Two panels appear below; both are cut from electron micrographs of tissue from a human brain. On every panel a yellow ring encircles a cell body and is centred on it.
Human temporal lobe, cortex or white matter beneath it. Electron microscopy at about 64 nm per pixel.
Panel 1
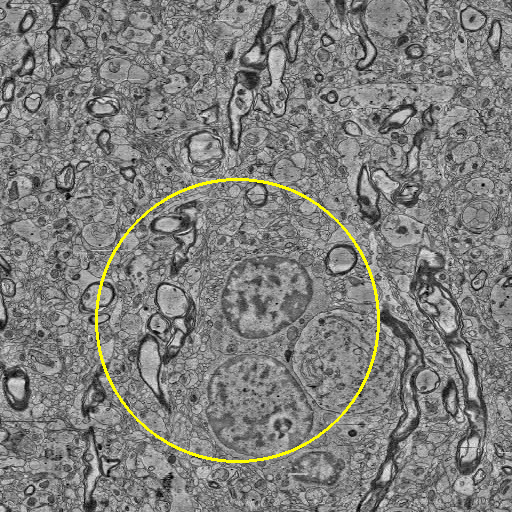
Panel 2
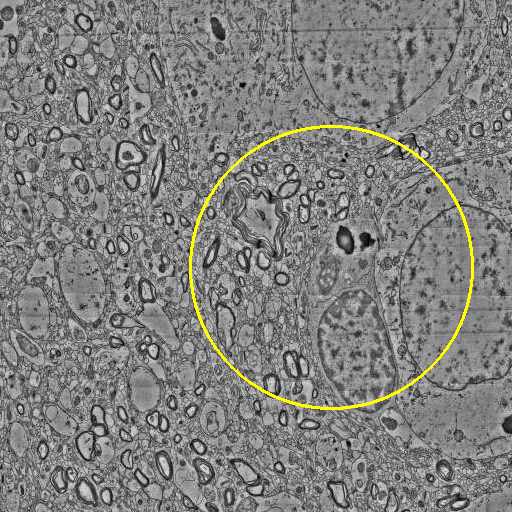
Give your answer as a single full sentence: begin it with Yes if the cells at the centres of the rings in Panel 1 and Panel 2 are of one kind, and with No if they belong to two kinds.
Yes, the cells in the middle of the rings in Panels 1 and 2 are of one kind.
